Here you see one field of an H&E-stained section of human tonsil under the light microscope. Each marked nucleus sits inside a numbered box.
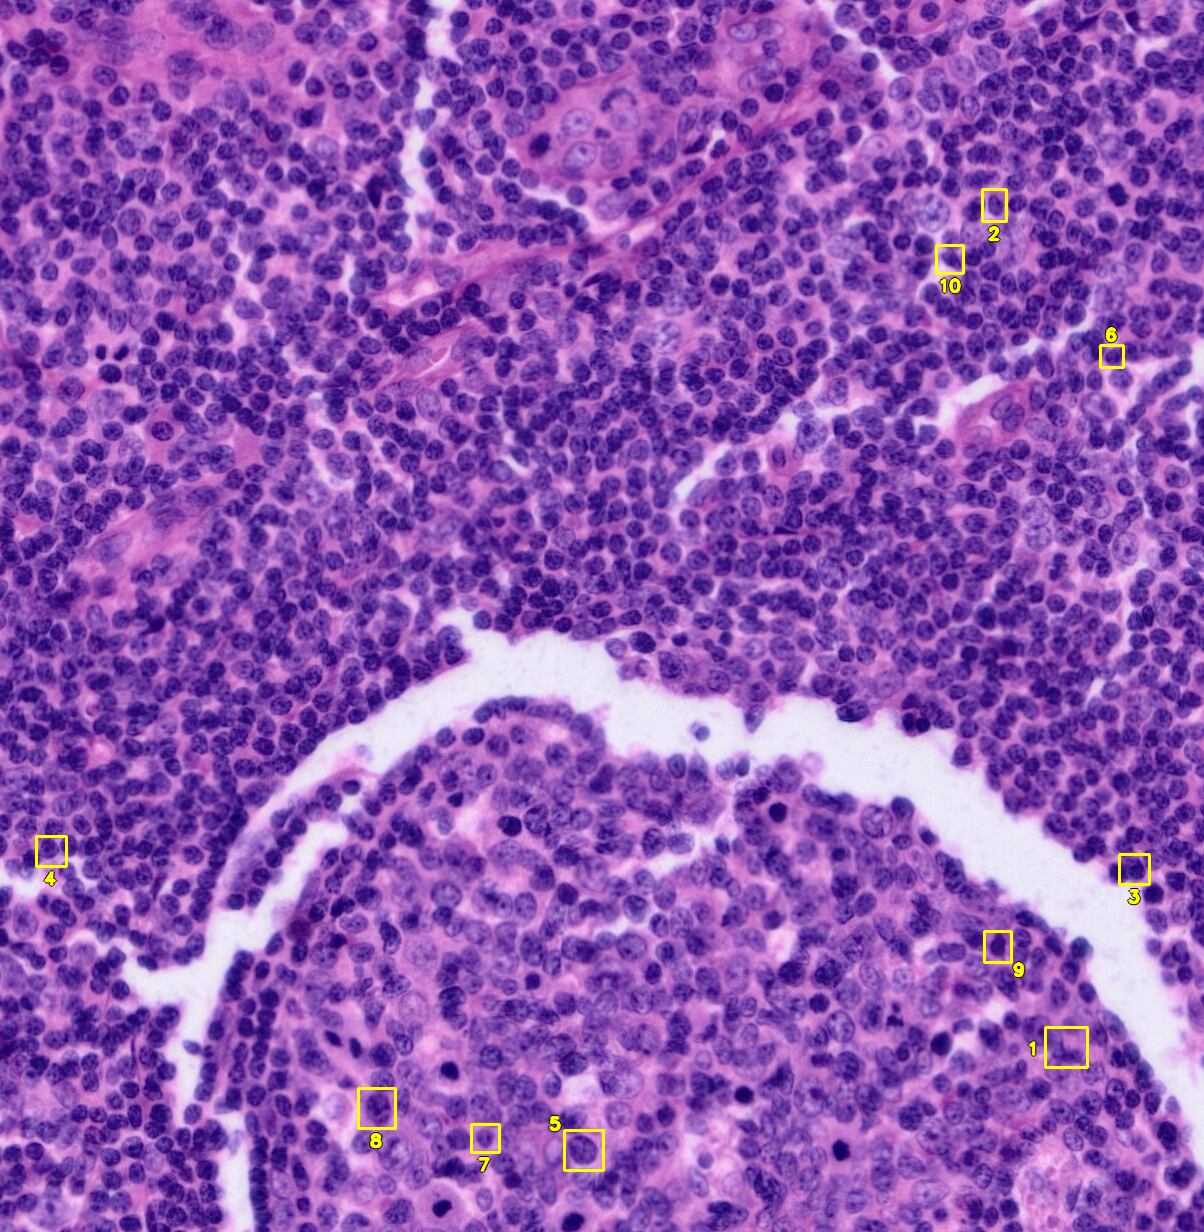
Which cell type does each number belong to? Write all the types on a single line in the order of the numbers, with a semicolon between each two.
proliferating B cell; small lymphocyte; small lymphocyte; small lymphocyte; proliferating B cell; small lymphocyte; proliferating B cell; proliferating B cell; proliferating B cell; small lymphocyte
